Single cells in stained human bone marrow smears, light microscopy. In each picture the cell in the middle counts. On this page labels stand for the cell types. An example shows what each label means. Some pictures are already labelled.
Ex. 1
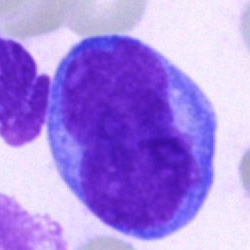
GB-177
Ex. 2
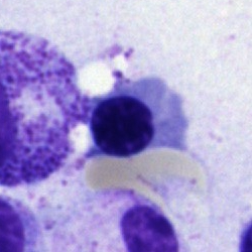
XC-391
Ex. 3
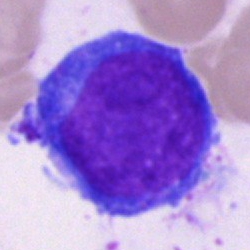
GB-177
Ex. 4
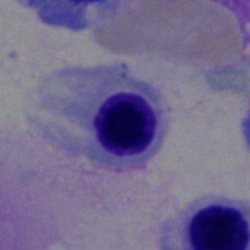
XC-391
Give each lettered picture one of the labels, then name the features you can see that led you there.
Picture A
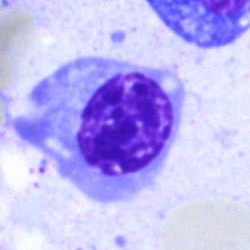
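XC-391. Reason: The chromatin is coarsely clumped into dark purple blocks separated by pale gaps.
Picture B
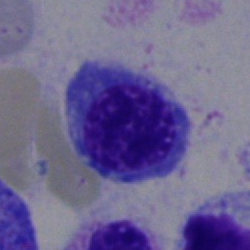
XC-391. Reason: The chromatin is coarse and clumped, with small paler spaces between the clumps.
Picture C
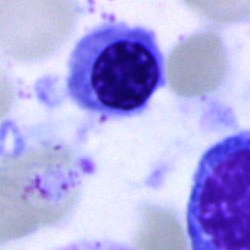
XC-391. Reason: The chromatin is dark purple and coarsely clumped.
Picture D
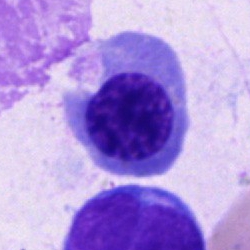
XC-391. Reason: The chromatin is coarse, with dark clumps separated by paler patches.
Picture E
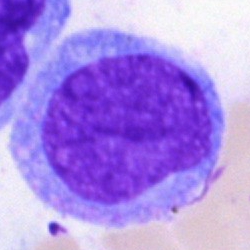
GB-177. Reason: The chromatin is finely stippled rather than coarsely clumped.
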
